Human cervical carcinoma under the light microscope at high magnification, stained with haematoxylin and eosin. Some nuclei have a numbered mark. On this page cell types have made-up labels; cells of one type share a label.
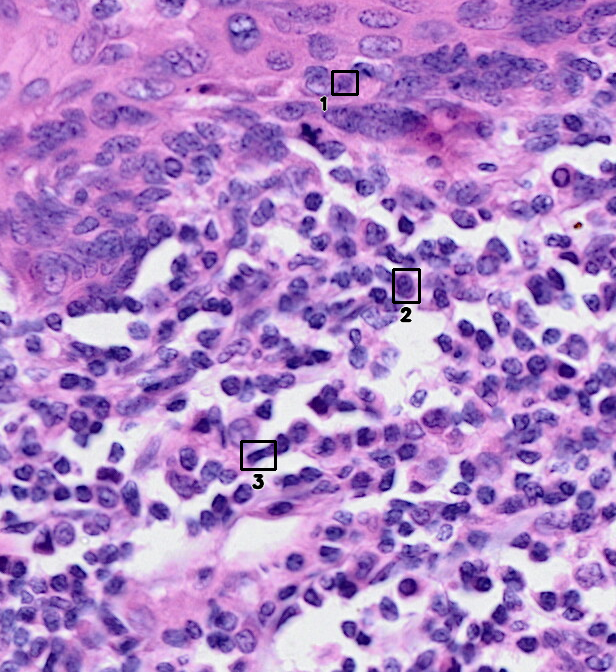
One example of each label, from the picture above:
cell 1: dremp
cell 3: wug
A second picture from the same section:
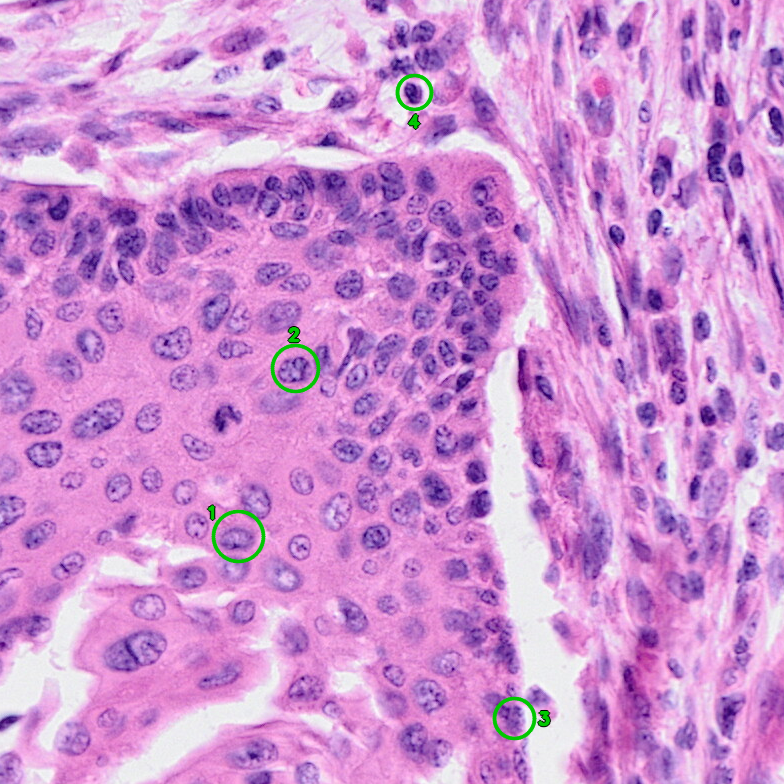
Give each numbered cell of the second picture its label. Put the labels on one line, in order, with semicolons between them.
dremp; dremp; dremp; wug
